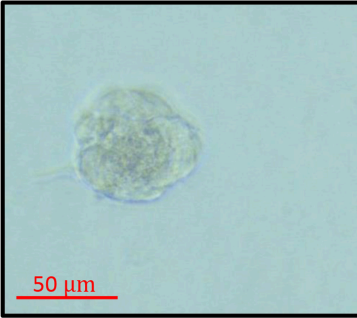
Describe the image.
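A rounded body with a lumpy, knobbly outline sits alone on a pale background, its edge made of several rounded bulges. The interior is granular and darker at the centre, and a fine thin strand runs off from its left side.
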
